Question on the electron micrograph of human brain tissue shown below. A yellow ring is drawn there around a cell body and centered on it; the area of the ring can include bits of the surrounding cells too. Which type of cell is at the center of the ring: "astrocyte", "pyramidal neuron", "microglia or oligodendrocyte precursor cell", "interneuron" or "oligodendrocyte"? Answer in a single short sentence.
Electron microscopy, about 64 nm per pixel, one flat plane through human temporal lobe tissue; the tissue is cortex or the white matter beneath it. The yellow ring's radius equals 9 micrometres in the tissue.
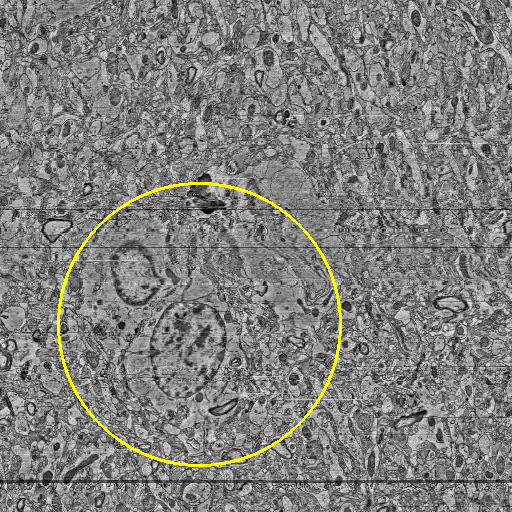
The ring is centered on an astrocyte.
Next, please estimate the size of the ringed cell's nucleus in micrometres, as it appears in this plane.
About 7 by 5 micrometers, in this plane.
